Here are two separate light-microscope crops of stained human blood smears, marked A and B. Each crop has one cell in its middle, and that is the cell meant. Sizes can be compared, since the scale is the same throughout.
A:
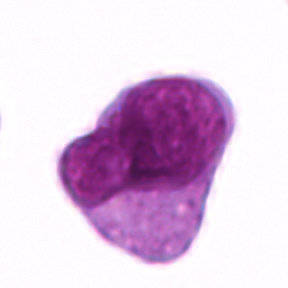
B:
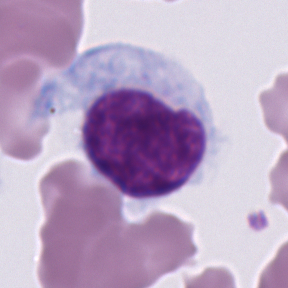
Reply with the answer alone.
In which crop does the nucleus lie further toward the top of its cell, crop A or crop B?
A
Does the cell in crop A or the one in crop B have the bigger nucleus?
A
